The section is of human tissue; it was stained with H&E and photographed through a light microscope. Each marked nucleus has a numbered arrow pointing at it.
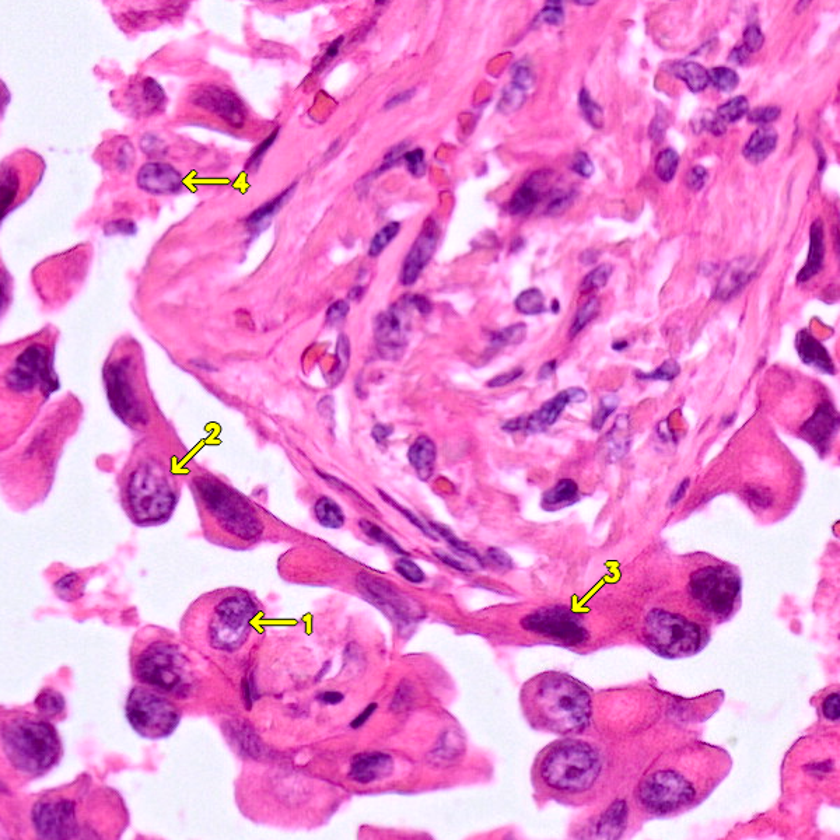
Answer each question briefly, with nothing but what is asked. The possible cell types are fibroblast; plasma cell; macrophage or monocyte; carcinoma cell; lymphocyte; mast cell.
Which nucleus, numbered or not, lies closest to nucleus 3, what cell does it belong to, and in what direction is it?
a carcinoma cell; below nucleus 3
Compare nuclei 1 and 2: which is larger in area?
2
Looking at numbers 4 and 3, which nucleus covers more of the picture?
3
